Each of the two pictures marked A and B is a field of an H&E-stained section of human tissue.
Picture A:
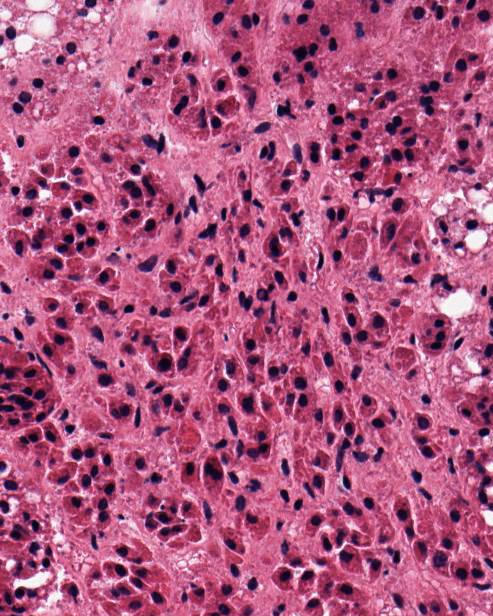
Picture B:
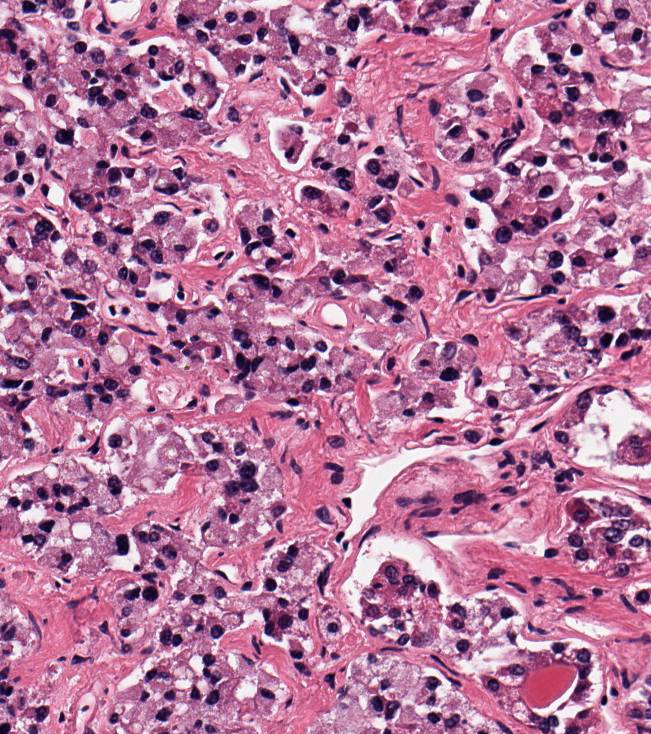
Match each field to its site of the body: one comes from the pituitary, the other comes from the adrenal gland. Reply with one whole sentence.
It is picture A that comes from the adrenal gland, and picture B that comes from the pituitary.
